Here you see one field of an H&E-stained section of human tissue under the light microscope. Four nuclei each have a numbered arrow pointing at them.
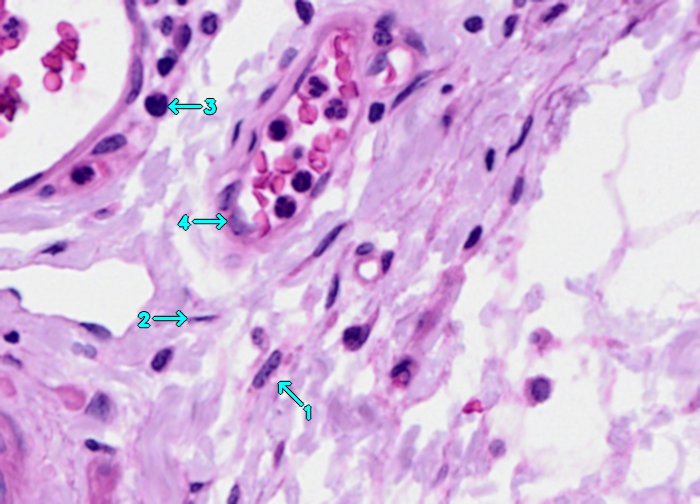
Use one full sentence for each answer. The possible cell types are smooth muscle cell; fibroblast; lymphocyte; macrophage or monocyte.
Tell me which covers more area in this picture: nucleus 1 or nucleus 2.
Number 1 is larger; its area is about 3 times that of number 2.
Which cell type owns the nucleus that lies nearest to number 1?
Closest to number 1 lies the nucleus of a macrophage or monocyte.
